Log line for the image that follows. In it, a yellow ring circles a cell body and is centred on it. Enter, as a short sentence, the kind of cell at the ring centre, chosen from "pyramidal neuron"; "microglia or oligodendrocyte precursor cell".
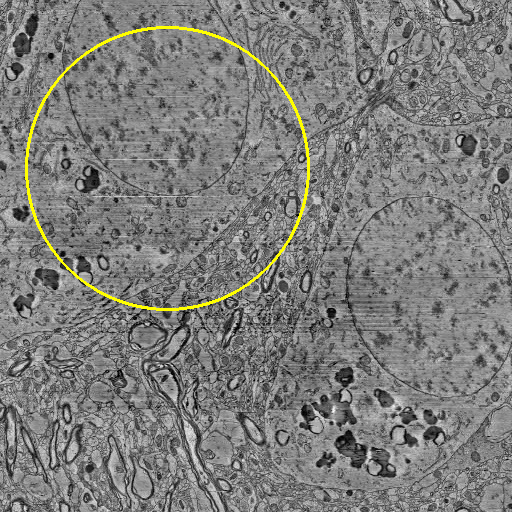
The ring centre is occupied by a pyramidal neuron.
